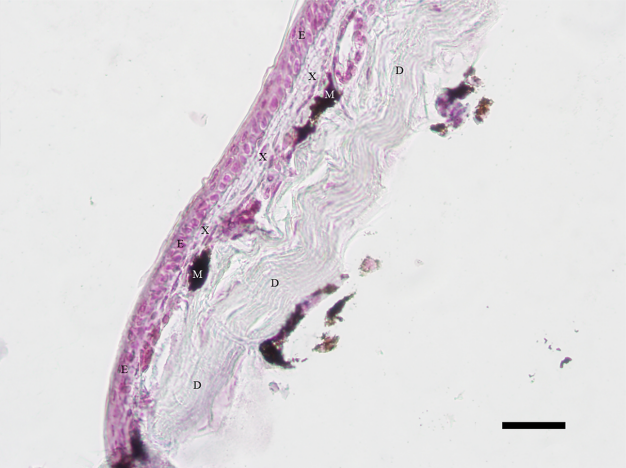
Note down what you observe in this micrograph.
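A thin skin in cross section shows an outer layer of several rows of pink-nucleated epithelial cells, beneath which lies a zone of paler cells and then scattered, irregular clumps of black pigment. Below these, a thick pale layer of wavy fibres makes up most of the section. This reads as epidermis over a layer of xanthophores with melanophores, resting on dermis.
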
